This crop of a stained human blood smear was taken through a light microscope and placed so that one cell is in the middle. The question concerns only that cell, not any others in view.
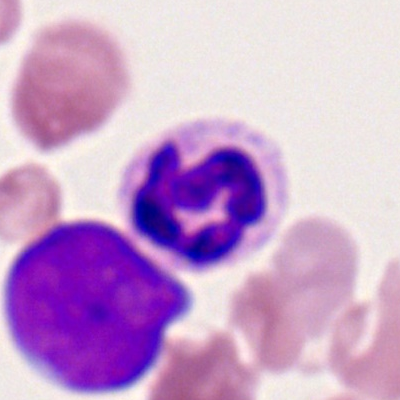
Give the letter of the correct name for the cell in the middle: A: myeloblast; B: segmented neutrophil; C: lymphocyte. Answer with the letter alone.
B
